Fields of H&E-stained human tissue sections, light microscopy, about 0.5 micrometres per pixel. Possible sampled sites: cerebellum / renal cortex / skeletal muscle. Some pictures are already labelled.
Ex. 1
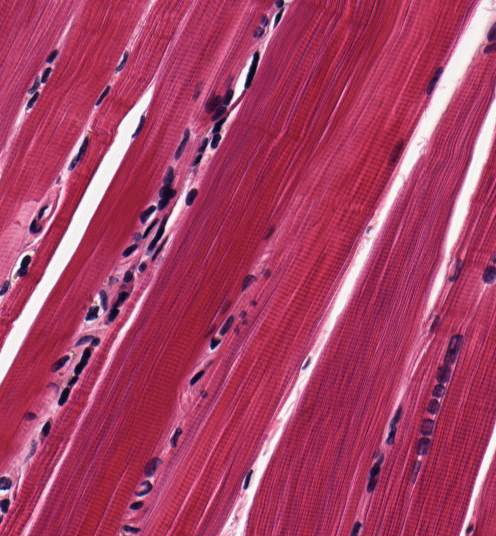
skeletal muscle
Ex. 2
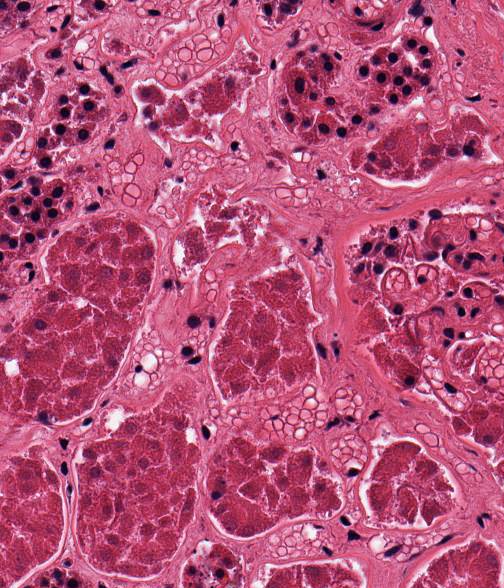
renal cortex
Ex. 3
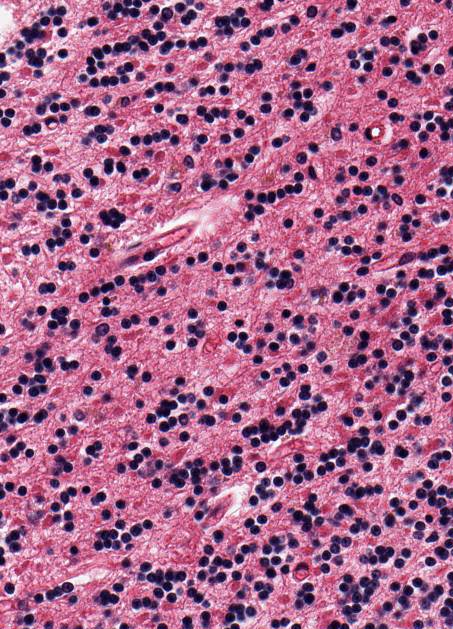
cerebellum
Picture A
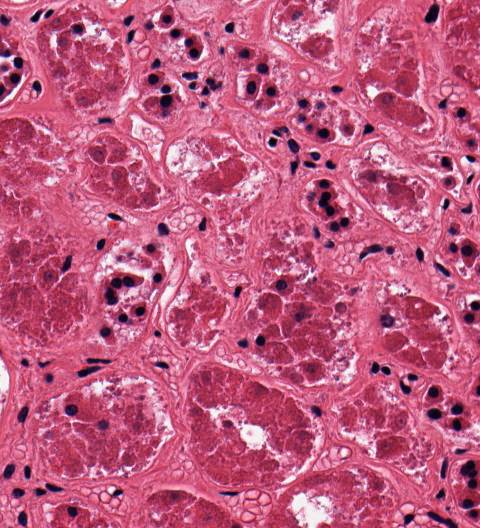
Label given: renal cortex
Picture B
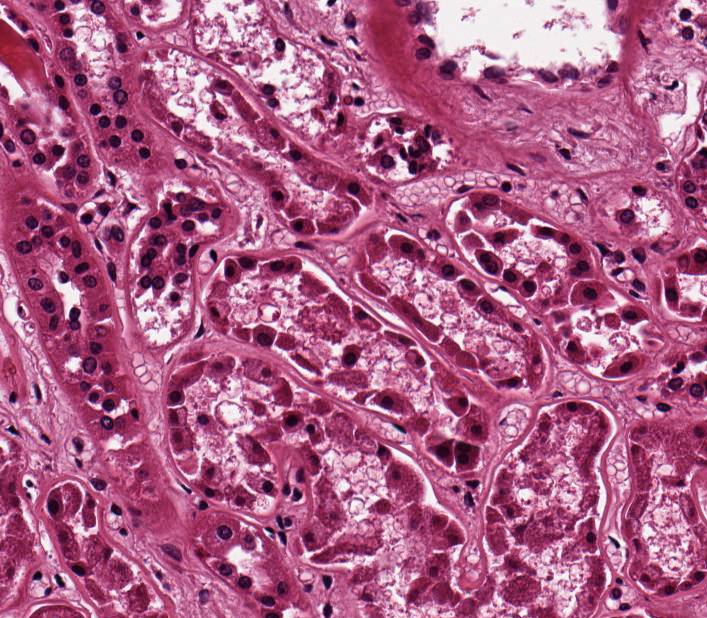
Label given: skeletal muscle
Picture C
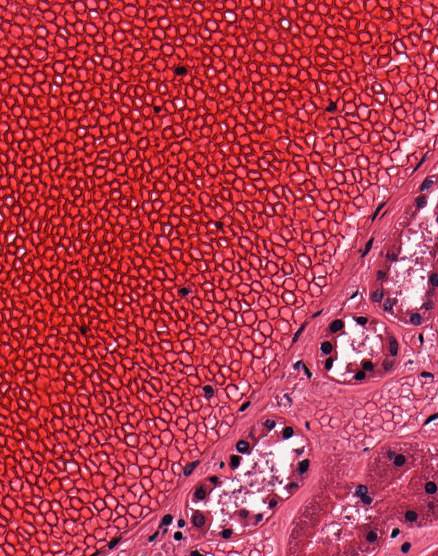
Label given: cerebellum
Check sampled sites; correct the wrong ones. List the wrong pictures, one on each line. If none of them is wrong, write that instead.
Wrong: B (skeletal muscle); correct: renal cortex
Wrong: C (cerebellum); correct: renal cortex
